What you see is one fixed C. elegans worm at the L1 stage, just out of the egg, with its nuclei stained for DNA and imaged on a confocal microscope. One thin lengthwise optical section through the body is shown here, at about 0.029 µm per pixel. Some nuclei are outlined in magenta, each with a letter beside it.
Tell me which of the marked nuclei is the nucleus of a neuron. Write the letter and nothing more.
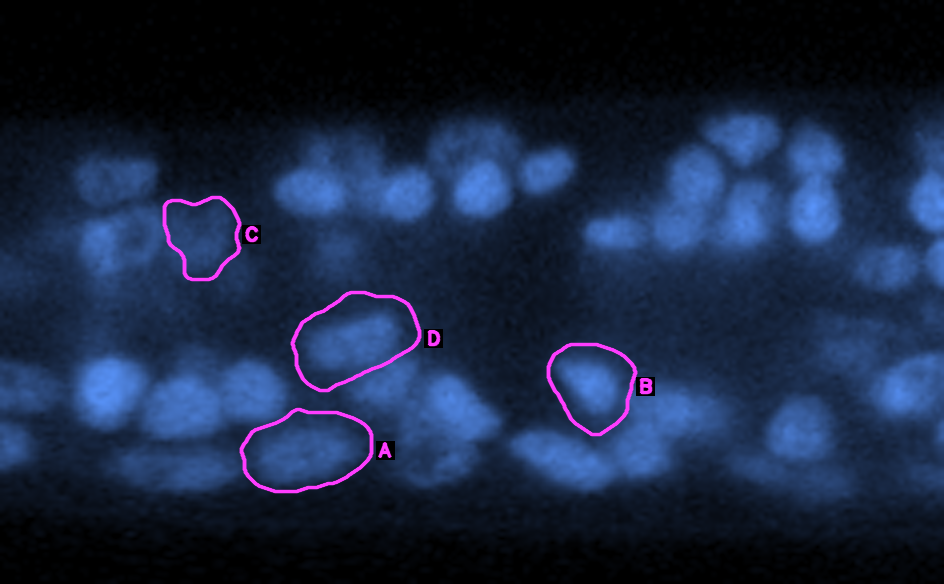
D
